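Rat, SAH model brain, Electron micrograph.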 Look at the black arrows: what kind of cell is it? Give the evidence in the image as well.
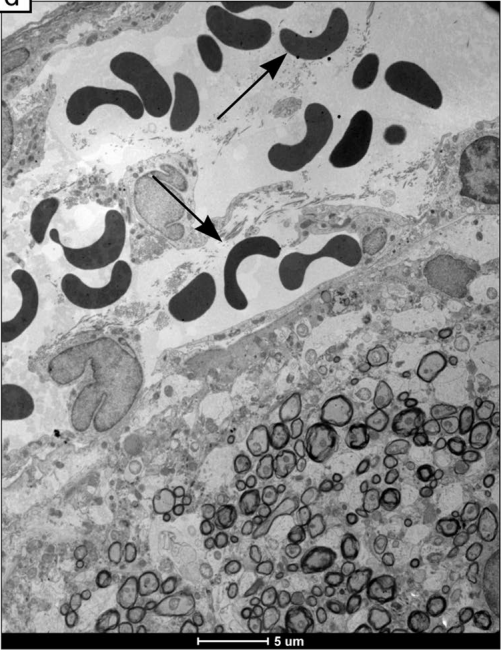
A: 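The arrows point to uniformly electron-dense cells without nuclei. These cells are seen in crescent, biconcave or curved outlines. Many such cells lie together in a space.
Conclusion: erythrocytes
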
